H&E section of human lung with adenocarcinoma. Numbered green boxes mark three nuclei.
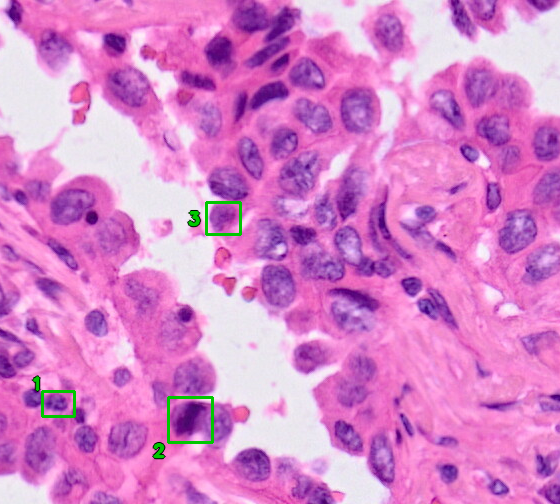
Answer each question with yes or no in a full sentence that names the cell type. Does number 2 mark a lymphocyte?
No, cell 2 is not a lymphocyte; it is a carcinoma cell.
